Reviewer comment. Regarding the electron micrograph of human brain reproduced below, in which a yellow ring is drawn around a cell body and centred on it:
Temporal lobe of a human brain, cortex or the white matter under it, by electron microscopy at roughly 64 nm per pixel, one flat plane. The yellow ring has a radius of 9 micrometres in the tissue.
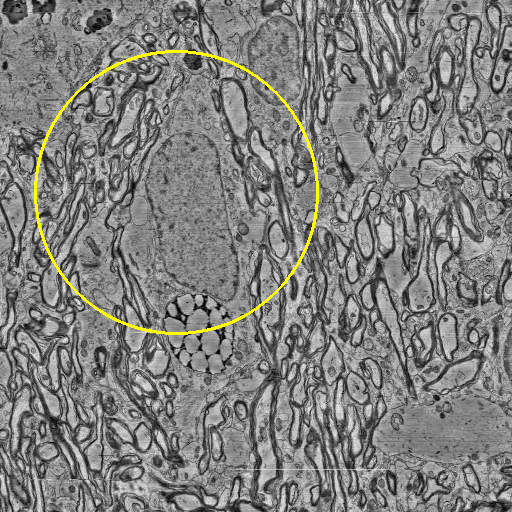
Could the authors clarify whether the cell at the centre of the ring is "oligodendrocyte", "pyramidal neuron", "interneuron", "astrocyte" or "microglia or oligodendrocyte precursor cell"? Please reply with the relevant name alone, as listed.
astrocyte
